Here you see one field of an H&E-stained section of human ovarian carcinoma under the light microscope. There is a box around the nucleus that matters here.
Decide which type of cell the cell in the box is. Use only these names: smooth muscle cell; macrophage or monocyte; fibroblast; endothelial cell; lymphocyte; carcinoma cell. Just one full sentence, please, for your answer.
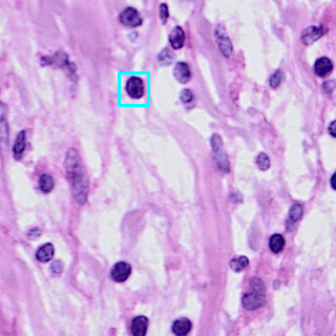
The category to which the cell in the box belongs is that of a lymphocyte.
